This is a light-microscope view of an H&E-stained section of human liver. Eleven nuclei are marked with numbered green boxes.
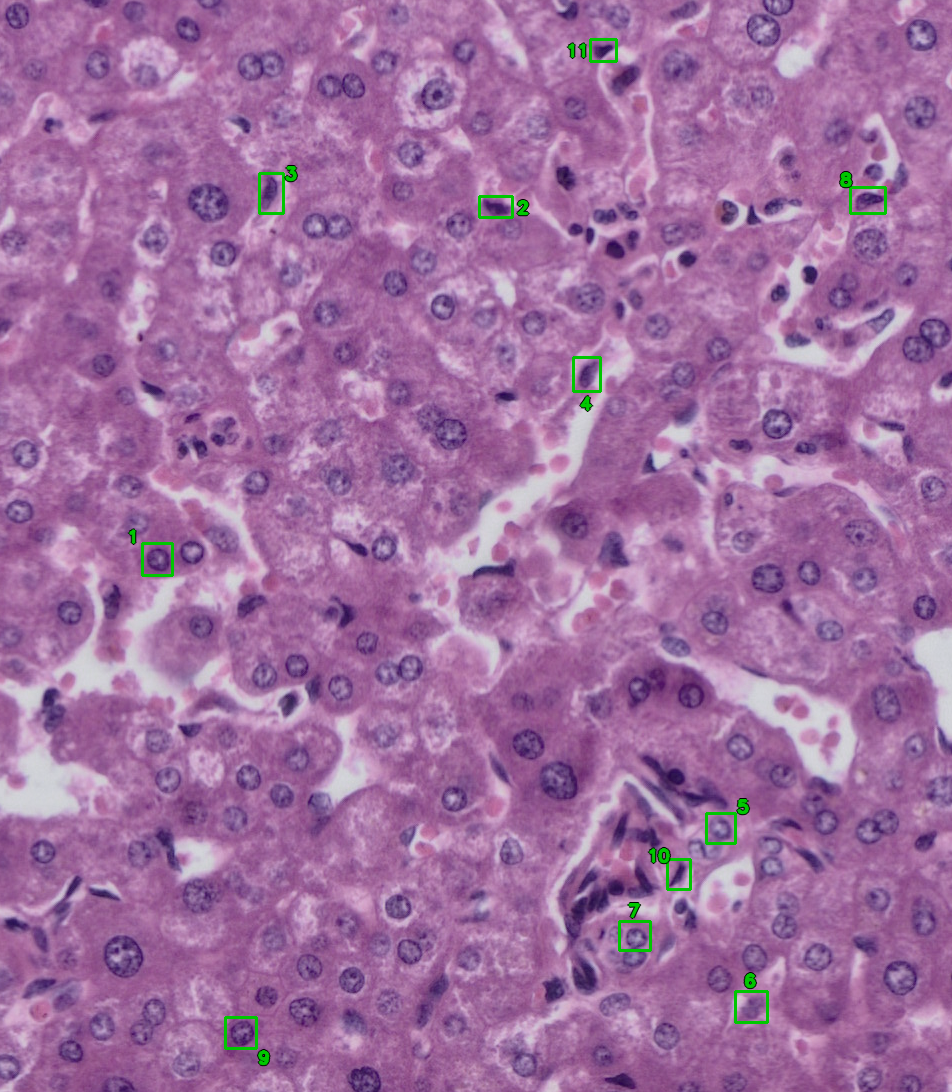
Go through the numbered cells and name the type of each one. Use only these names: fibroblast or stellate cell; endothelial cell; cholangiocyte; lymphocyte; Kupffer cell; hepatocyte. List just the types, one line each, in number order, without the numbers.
hepatocyte
Kupffer cell
Kupffer cell
Kupffer cell
cholangiocyte
Kupffer cell
cholangiocyte
fibroblast or stellate cell
hepatocyte
fibroblast or stellate cell
fibroblast or stellate cell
